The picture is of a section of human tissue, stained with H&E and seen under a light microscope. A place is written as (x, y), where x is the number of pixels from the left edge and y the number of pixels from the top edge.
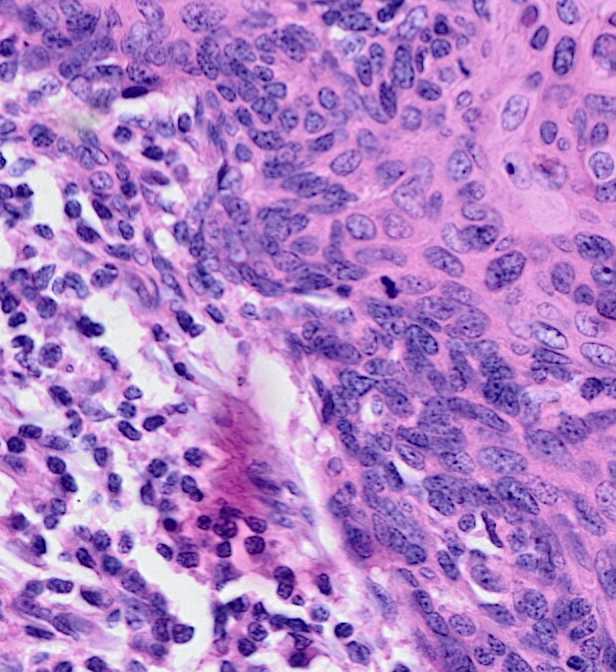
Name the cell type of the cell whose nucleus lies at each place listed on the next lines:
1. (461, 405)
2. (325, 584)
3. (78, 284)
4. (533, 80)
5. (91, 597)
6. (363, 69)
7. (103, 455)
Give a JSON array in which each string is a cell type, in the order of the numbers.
["squamous carcinoma cell", "lymphocyte", "lymphocyte", "squamous carcinoma cell", "lymphocyte", "squamous carcinoma cell", "lymphocyte"]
